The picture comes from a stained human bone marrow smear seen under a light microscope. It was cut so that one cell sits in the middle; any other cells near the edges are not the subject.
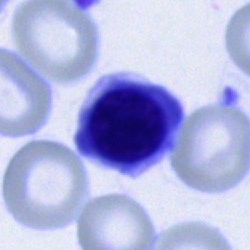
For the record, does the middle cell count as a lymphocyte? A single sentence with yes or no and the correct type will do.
No, the one in the center is not a lymphocyte; it is an erythroblast.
